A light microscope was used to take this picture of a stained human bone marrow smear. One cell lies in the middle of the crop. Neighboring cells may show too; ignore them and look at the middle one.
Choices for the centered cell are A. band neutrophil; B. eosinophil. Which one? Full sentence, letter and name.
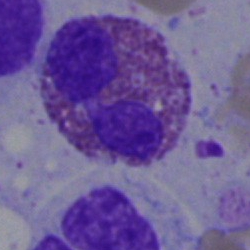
The centered cell is an eosinophil, which is why option B is right.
